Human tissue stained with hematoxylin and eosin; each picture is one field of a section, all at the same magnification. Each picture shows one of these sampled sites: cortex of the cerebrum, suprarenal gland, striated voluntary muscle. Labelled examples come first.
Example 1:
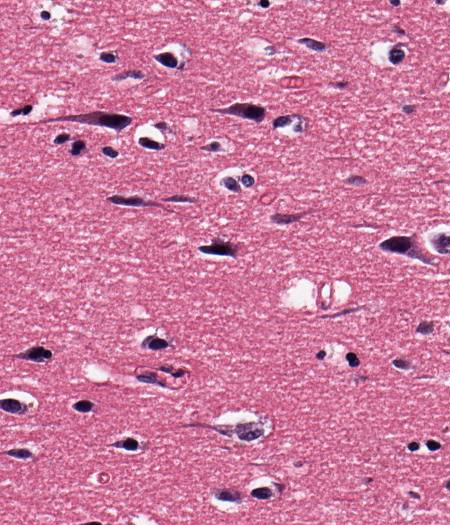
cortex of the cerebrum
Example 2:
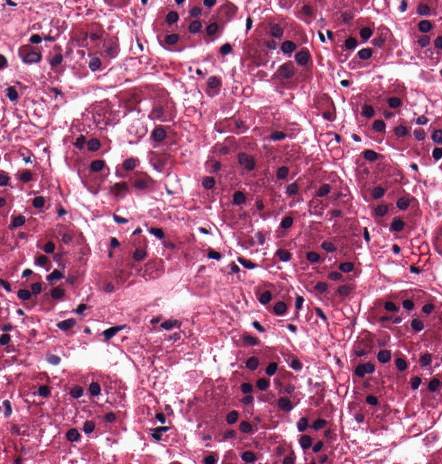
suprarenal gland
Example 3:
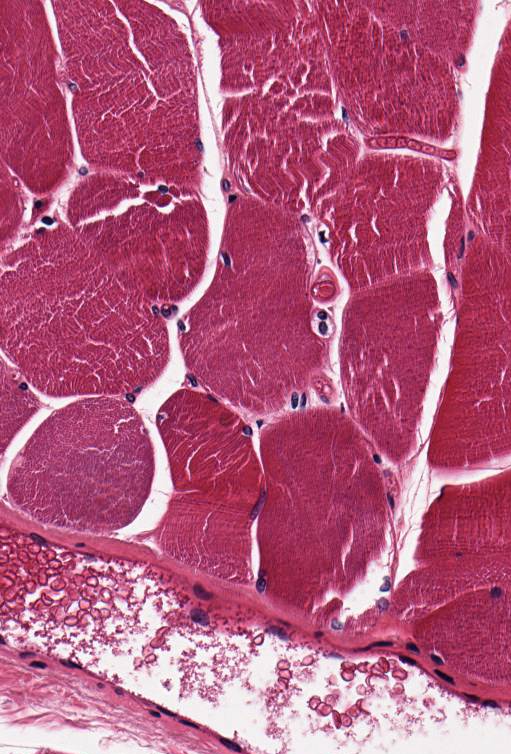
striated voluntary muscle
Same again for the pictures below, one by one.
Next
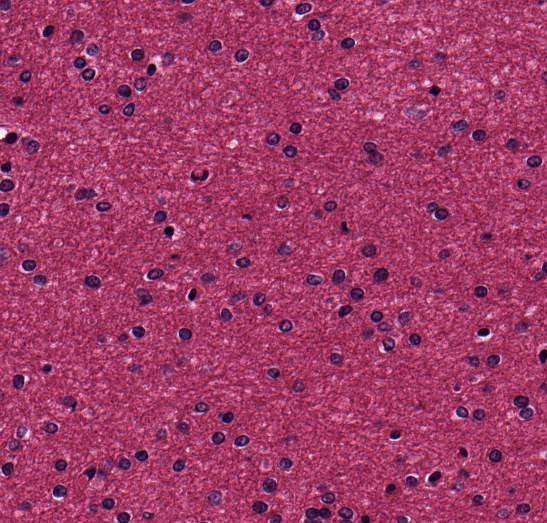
cortex of the cerebrum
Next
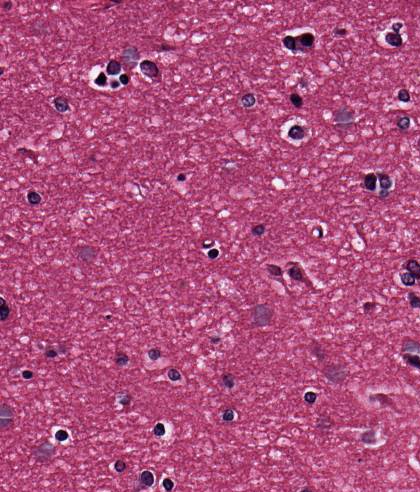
cortex of the cerebrum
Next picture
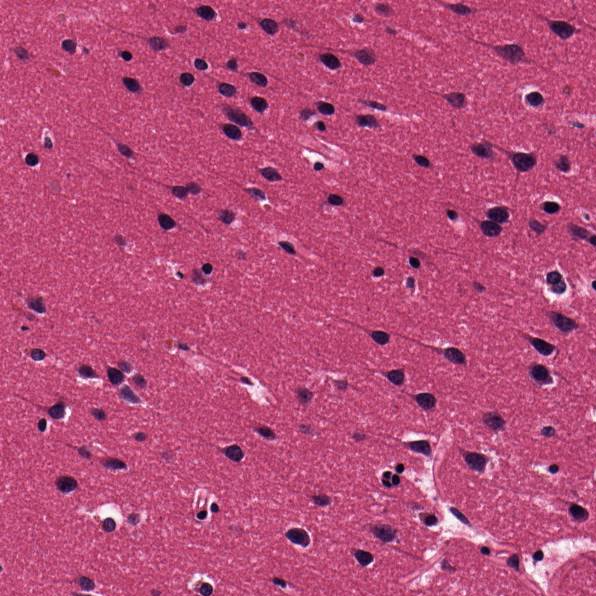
cortex of the cerebrum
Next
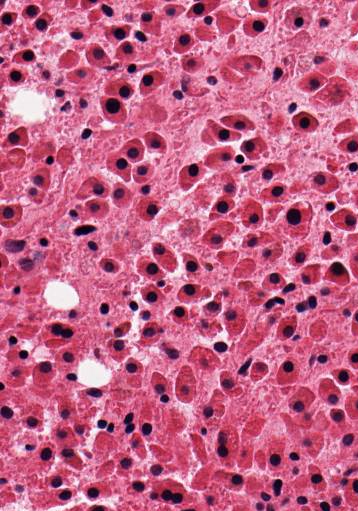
suprarenal gland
